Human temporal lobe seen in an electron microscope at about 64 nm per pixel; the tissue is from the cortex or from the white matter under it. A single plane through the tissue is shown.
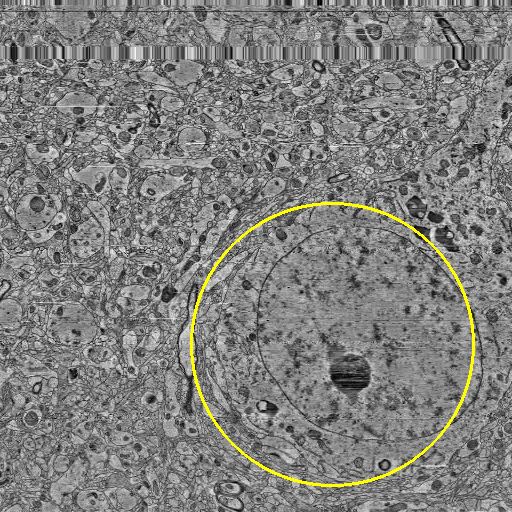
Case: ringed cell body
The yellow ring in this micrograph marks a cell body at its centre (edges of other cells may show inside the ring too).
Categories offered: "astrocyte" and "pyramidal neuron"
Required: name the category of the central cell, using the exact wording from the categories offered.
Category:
pyramidal neuron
